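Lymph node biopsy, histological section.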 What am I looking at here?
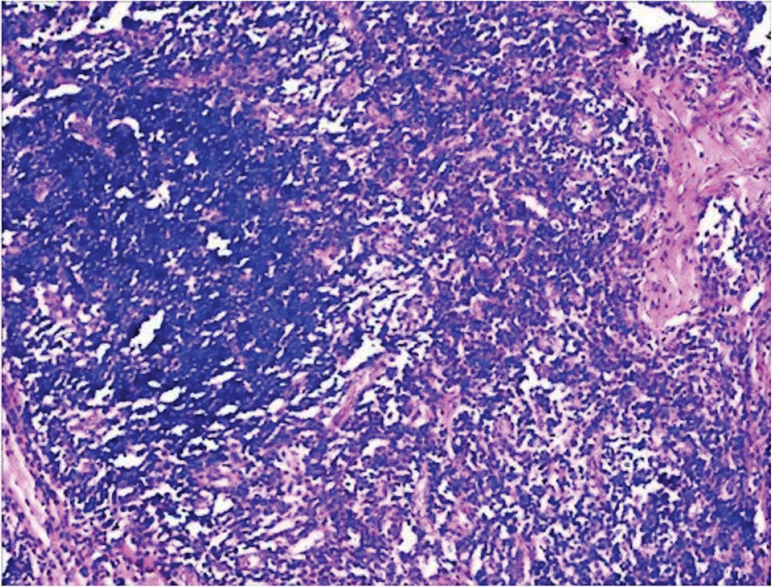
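To the left lies a dark blue zone of closely set small round nuclei, typical of dense lymphoid tissue. Toward the middle and lower right the tissue becomes looser and mixed. Many cells there have pink cytoplasm and lie between the blue nuclei. At the upper right edge runs a band of pale pink, wavy fibrous tissue with a few elongated spindle-shaped nuclei. Its fibres sweep into the cellular tissue. Small clear clefts and spaces are scattered throughout the section.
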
